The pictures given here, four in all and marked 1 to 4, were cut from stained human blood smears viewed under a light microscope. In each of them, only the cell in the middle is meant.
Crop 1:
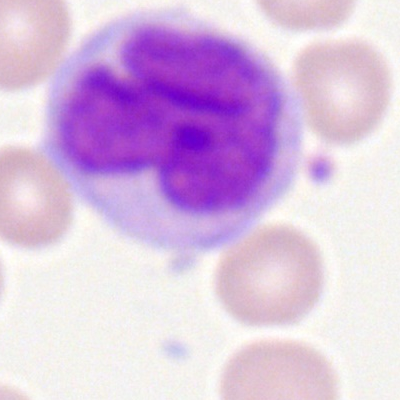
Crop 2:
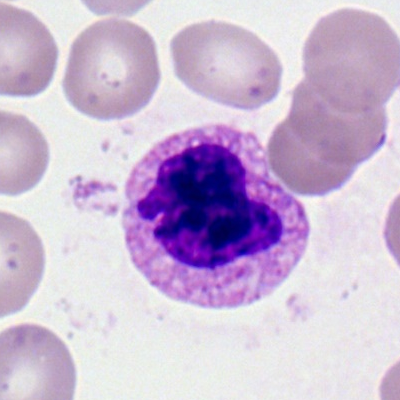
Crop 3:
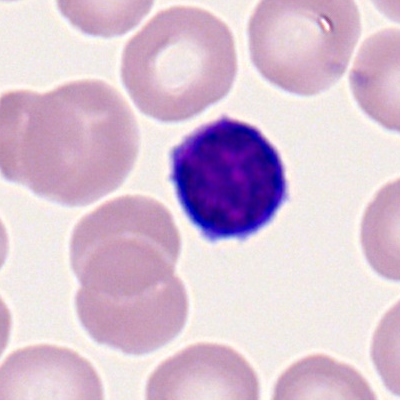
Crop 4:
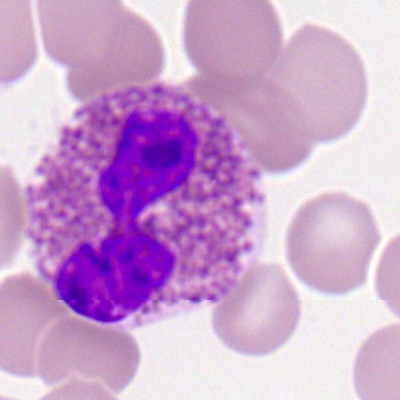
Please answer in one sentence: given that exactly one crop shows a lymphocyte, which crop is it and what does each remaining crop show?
The cell shown in crop 3 is a lymphocyte, whereas crop 1 is a monocyte, crop 2 is a basophil and crop 4 is an eosinophil.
